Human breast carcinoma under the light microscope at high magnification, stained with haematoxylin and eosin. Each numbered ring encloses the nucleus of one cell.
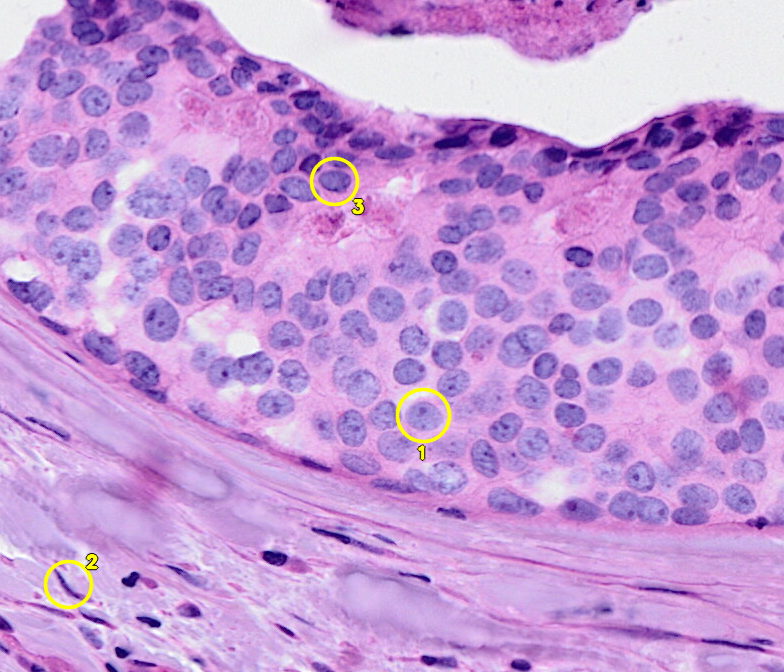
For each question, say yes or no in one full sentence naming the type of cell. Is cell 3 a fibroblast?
No, cell 3 is not a fibroblast. It is a carcinoma cell.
